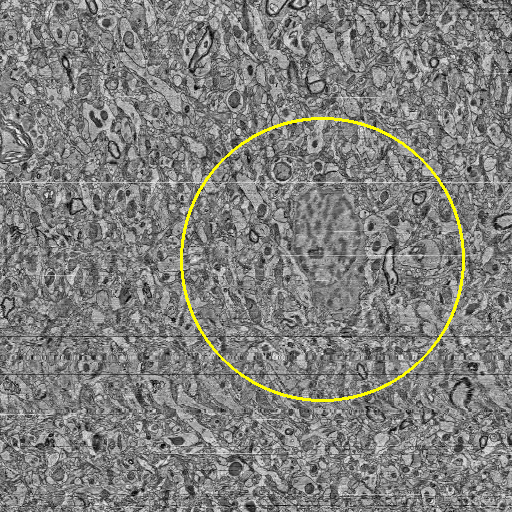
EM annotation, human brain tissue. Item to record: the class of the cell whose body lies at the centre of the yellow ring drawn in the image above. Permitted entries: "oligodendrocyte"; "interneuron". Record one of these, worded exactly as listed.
oligodendrocyte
